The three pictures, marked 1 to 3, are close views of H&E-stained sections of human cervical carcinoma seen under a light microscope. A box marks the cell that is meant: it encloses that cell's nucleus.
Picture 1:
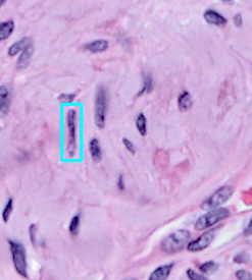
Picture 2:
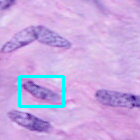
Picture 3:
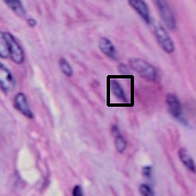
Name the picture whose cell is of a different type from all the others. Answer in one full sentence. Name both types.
Unlike the rest, which show smooth muscle cells, picture 1 shows a fibroblast.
